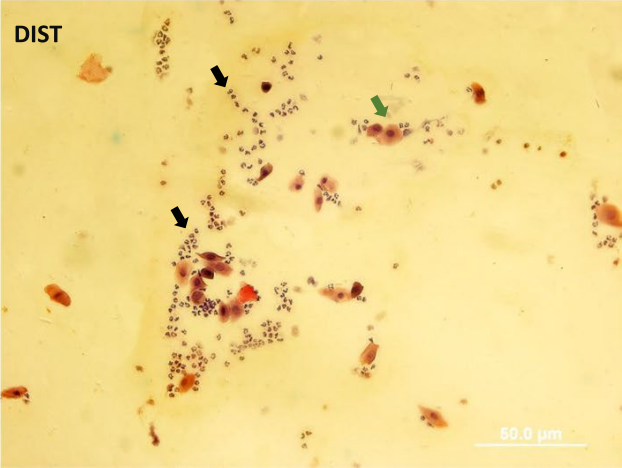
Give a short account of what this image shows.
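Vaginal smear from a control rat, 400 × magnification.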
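The leukocytes are very small round cells with dark purple, lobed nuclei, lying in dense clusters and streaks across the field. Nucleated epithelial cells are larger, oval to elongated, with a dark central nucleus and purple to orange-red cytoplasm. Leukocytes crowd around and cling to several epithelial cells. Large flat anucleate cells are rare.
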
